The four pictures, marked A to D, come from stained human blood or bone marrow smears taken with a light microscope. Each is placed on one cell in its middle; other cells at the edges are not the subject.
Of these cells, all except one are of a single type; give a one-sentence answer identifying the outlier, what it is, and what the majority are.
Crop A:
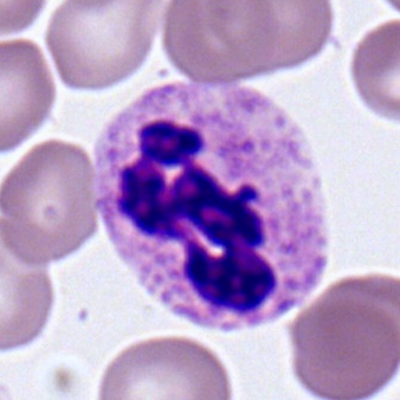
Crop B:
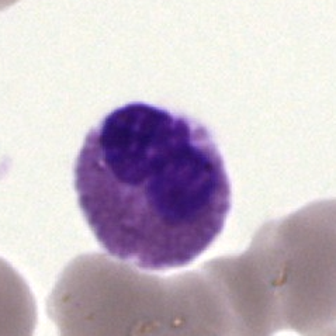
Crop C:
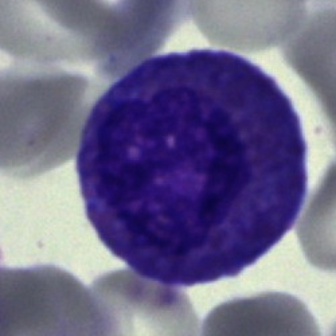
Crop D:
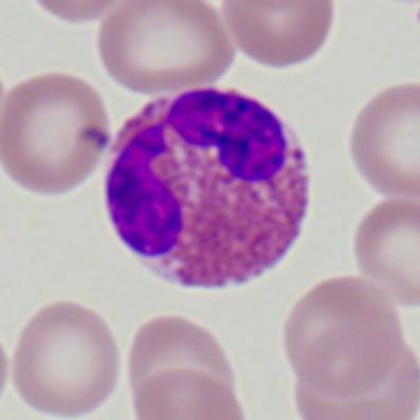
Crop A shows a segmented neutrophil; by contrast, all the other crops show eosinophils.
